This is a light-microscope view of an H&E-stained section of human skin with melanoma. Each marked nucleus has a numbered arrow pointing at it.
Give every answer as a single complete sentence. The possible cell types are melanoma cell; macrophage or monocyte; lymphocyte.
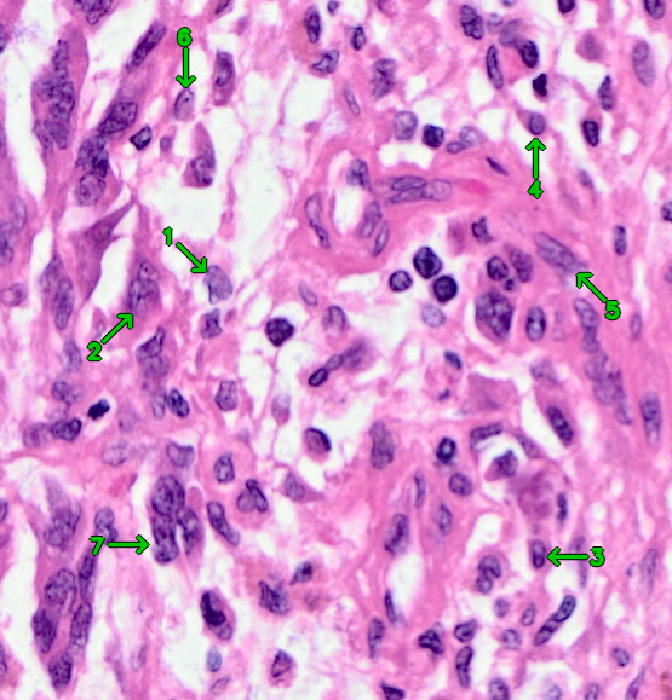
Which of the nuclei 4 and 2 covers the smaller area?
Nucleus 4 covers less area, with nucleus 2 about 2.5 times as large.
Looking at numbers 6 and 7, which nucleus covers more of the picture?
At about 2.5 times the area of nucleus 6, nucleus 7 is the larger of the two.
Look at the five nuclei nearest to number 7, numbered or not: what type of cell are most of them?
Most of the five nuclei nearest to number 7 are those of macrophages or monocytes.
